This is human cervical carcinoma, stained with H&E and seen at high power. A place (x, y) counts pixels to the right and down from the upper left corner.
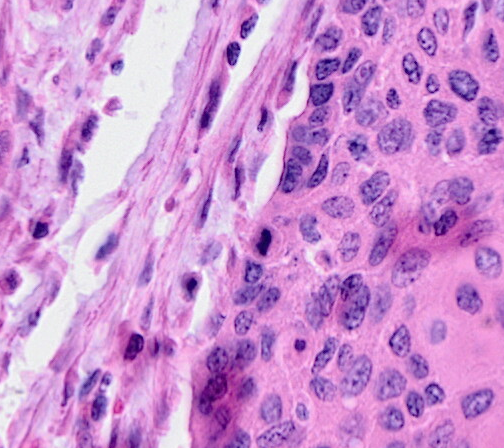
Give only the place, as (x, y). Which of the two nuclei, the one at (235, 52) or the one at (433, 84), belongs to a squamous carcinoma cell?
(433, 84)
